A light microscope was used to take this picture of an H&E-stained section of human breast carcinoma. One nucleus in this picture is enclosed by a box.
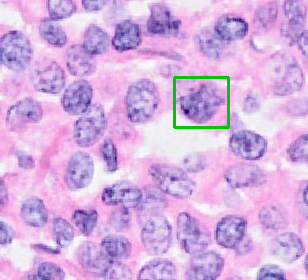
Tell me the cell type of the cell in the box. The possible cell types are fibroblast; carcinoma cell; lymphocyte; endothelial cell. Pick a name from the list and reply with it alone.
carcinoma cell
